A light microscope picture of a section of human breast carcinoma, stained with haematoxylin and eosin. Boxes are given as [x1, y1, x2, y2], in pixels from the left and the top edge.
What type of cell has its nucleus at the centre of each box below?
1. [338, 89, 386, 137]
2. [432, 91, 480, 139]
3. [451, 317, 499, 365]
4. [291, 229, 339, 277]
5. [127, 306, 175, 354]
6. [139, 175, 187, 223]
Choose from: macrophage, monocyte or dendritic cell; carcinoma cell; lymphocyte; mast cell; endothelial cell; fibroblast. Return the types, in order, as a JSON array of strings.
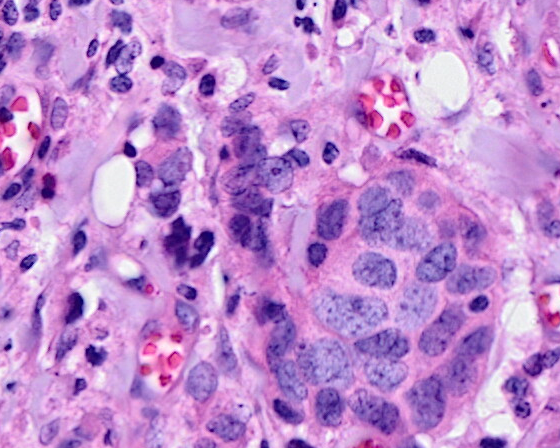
["endothelial cell", "fibroblast", "carcinoma cell", "carcinoma cell", "endothelial cell", "carcinoma cell"]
